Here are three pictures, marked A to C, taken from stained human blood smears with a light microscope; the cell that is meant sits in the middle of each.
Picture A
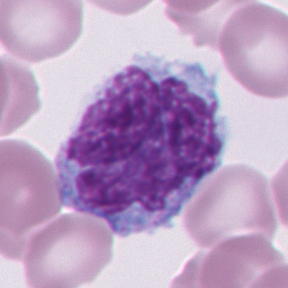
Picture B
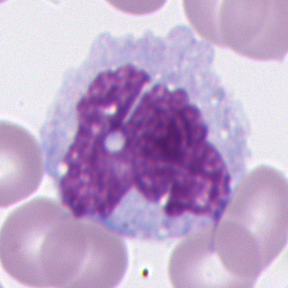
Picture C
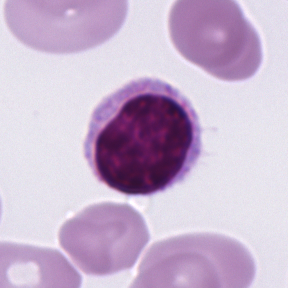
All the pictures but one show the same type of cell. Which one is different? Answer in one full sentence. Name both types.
Picture C is the odd one out: it shows a large granular lymphocyte, while the others show monocytes.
